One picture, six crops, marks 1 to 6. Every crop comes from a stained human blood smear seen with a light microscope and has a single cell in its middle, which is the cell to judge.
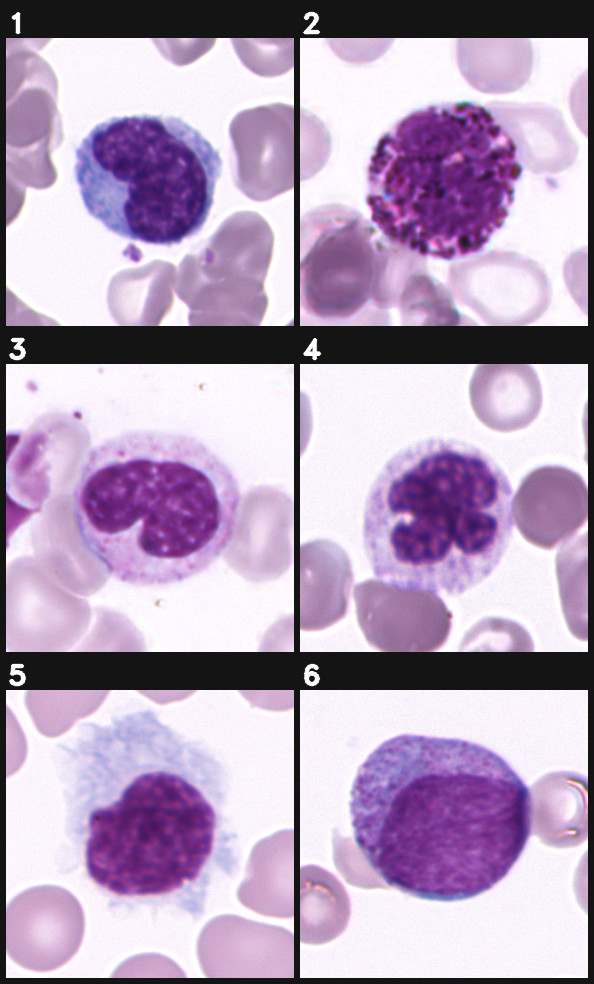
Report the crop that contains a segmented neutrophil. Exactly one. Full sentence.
The crop with a segmented neutrophil in it is crop 4.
